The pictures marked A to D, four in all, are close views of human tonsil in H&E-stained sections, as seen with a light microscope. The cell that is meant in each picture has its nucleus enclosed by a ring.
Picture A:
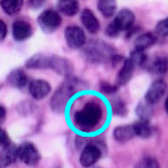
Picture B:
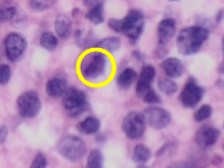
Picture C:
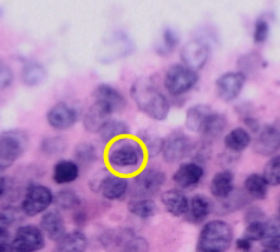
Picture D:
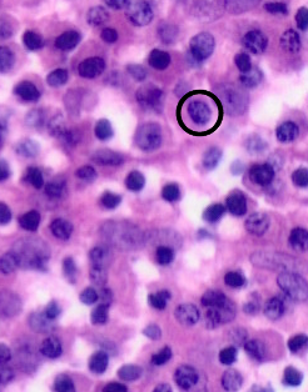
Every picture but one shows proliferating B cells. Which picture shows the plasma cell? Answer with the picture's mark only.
D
